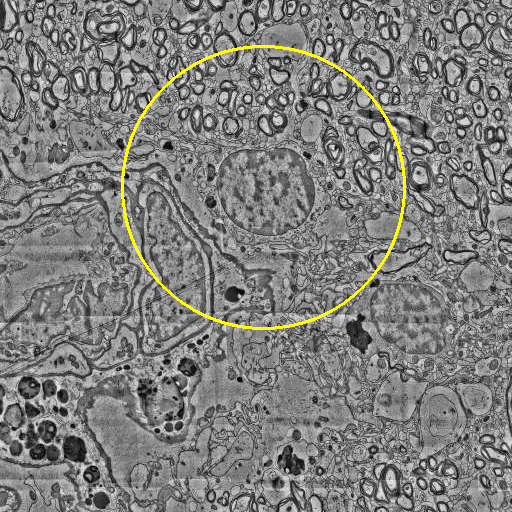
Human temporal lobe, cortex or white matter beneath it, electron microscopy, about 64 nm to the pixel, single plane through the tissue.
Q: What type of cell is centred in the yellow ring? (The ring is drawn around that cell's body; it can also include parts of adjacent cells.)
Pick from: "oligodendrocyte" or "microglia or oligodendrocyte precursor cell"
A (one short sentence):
The yellow ring is centred on a microglial cell or oligodendrocyte precursor cell.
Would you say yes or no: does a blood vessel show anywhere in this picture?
Yes, one shows.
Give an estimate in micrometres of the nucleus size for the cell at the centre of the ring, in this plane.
Roughly 6 micrometers across, in this plane.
